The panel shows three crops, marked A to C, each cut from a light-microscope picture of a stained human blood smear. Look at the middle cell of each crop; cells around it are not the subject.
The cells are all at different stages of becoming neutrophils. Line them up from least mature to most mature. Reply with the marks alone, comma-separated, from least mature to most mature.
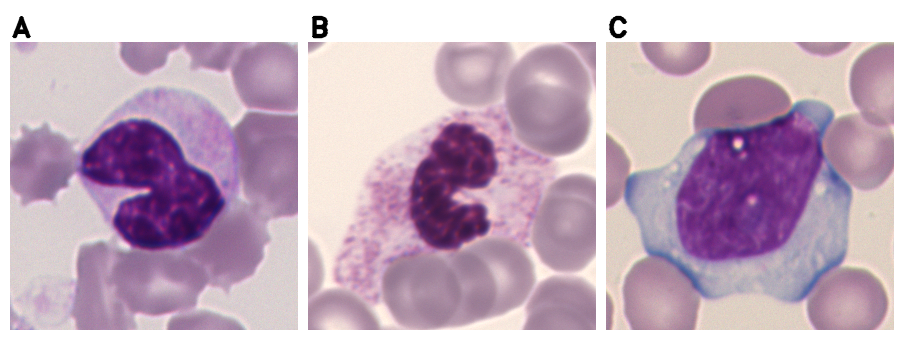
C, A, B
